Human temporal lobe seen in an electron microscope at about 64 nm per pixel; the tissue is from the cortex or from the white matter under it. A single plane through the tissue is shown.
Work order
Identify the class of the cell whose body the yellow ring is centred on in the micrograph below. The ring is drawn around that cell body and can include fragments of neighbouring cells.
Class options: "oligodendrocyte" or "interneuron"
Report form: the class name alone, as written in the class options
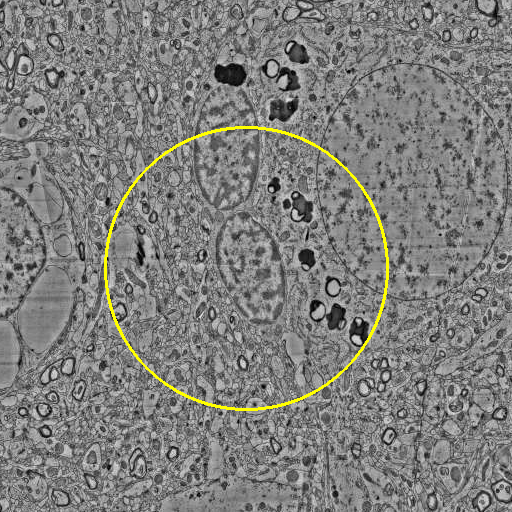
oligodendrocyte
